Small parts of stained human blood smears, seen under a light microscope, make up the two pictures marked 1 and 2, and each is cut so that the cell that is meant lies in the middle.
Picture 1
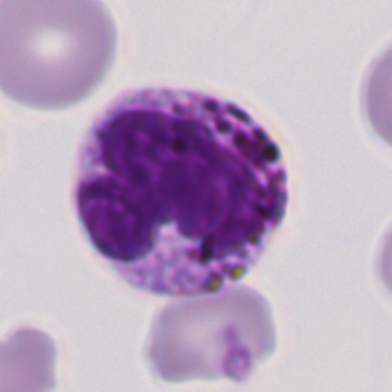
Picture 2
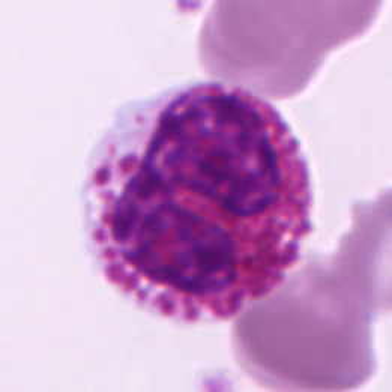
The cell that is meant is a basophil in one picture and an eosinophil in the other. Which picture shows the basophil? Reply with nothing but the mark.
1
